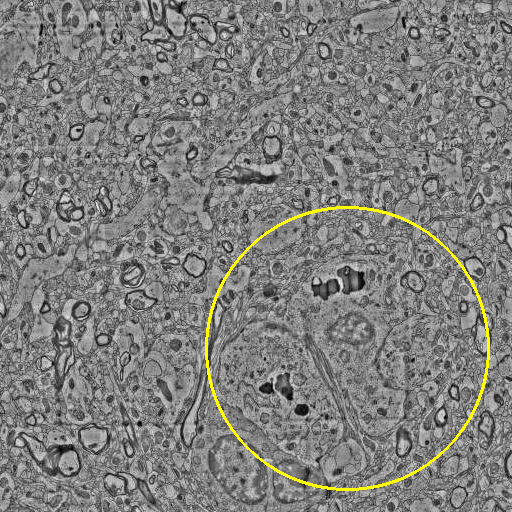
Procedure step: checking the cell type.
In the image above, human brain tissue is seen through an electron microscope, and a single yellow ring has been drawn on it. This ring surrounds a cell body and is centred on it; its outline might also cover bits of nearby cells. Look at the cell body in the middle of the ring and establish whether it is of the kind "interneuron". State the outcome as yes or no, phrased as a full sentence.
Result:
Yes, the cell body at the ring's centre in the image is of the kind in question.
